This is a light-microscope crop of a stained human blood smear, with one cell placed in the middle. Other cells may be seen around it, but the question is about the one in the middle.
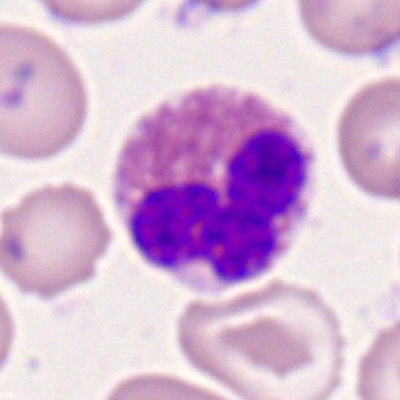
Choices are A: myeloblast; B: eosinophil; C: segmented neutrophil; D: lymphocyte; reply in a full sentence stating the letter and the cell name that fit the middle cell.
Option B is correct, and the cell in the centre is an eosinophil.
